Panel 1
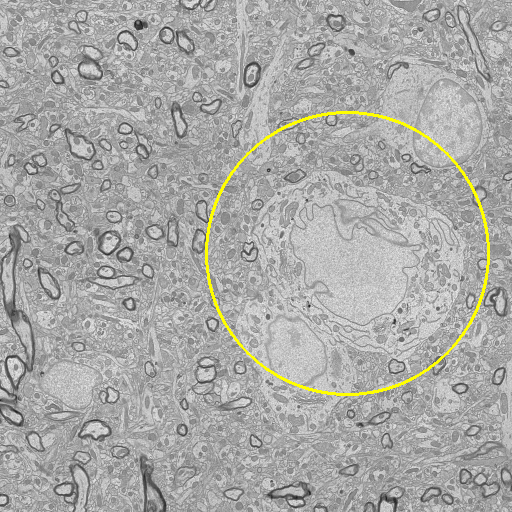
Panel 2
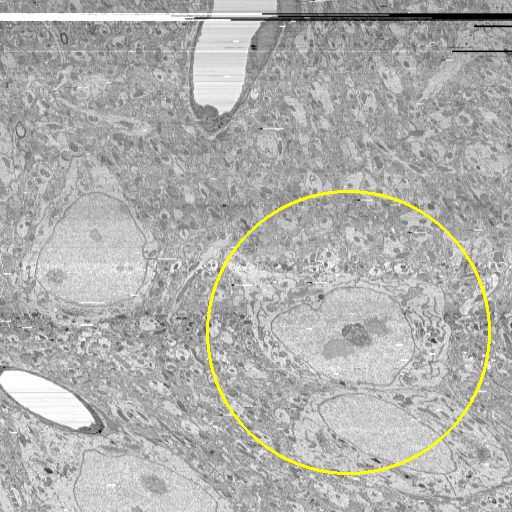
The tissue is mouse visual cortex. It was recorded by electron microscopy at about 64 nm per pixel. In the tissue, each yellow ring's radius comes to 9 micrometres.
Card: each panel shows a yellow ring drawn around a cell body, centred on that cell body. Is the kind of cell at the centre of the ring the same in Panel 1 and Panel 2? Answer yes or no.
yes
